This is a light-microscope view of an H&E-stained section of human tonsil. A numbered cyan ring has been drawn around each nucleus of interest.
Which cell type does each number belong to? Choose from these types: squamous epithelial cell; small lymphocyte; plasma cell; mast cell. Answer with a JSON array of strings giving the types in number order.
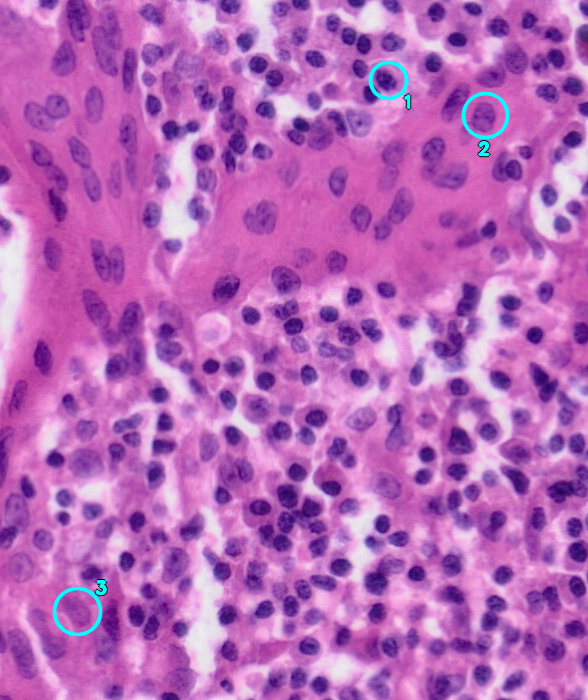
["plasma cell", "squamous epithelial cell", "squamous epithelial cell"]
